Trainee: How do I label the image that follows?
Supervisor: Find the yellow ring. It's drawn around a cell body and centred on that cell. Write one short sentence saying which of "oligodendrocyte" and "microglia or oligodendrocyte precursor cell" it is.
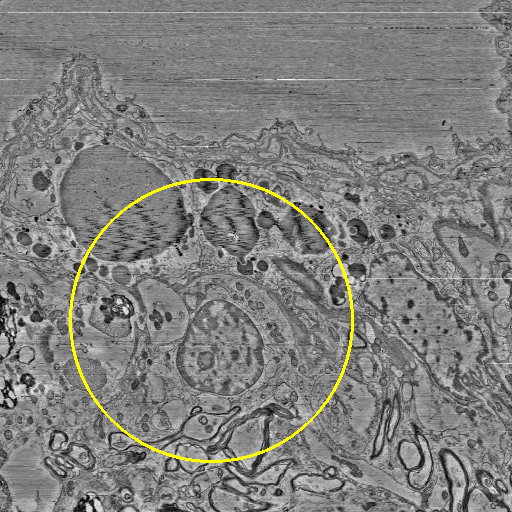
This is the cell body of a microglial cell or oligodendrocyte precursor cell.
